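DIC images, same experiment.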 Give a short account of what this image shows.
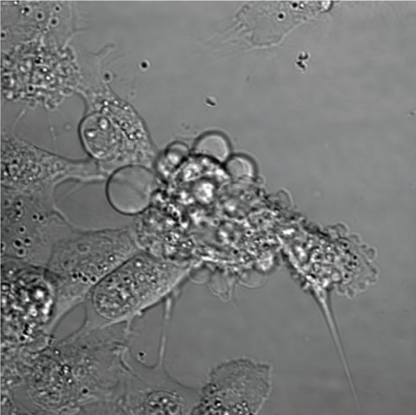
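Cultured cell with several large, smooth spherical blebs bulging from one side of its surface, its body packed with coarse refractile granules. Neighbouring cells are spread and granular, one extending a long thin tapering process.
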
